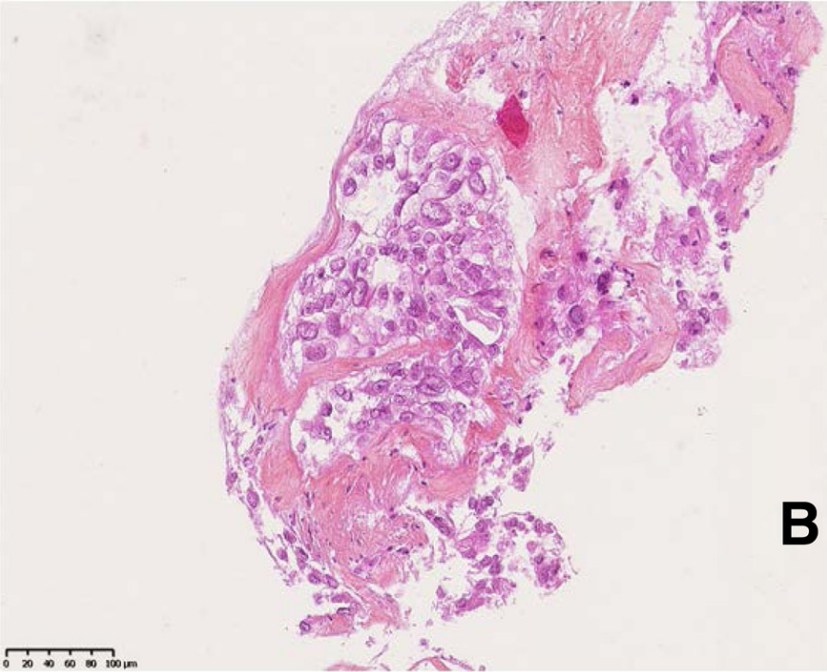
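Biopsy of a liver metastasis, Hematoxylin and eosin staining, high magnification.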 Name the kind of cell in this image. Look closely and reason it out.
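Cells are large with big oval nuclei. Cytoplasm is pale and partly clear. Cells are grouped in a nest bounded by pink fibrous strands.
Answer: large cells and clear cytoplasm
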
